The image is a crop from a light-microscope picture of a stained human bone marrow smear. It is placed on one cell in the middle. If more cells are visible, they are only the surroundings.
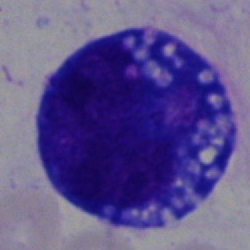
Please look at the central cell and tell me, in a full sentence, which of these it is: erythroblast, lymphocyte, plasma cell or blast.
The single cell at the center of the crop is a blast.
